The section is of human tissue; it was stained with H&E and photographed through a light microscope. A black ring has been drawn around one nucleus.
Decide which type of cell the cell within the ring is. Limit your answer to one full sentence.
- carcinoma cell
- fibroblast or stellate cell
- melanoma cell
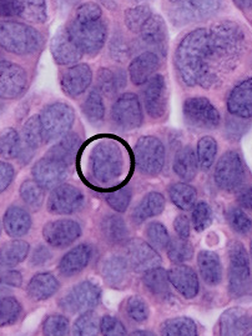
Recorded by type, the cell within the ring is a carcinoma cell.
